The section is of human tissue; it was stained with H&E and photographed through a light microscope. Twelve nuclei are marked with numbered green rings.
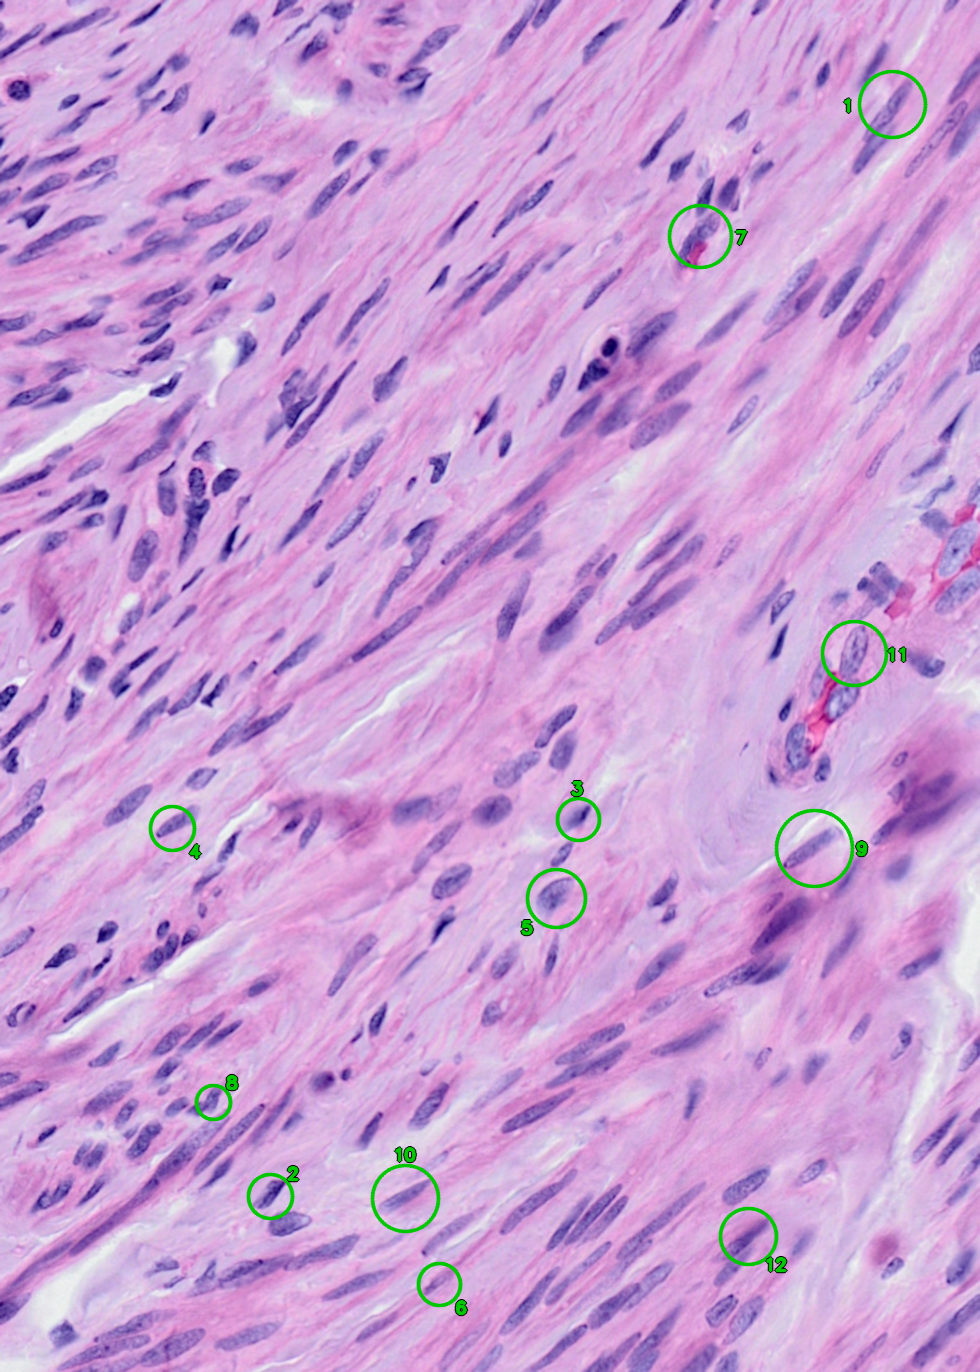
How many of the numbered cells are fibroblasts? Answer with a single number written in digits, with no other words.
3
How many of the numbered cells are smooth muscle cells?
7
